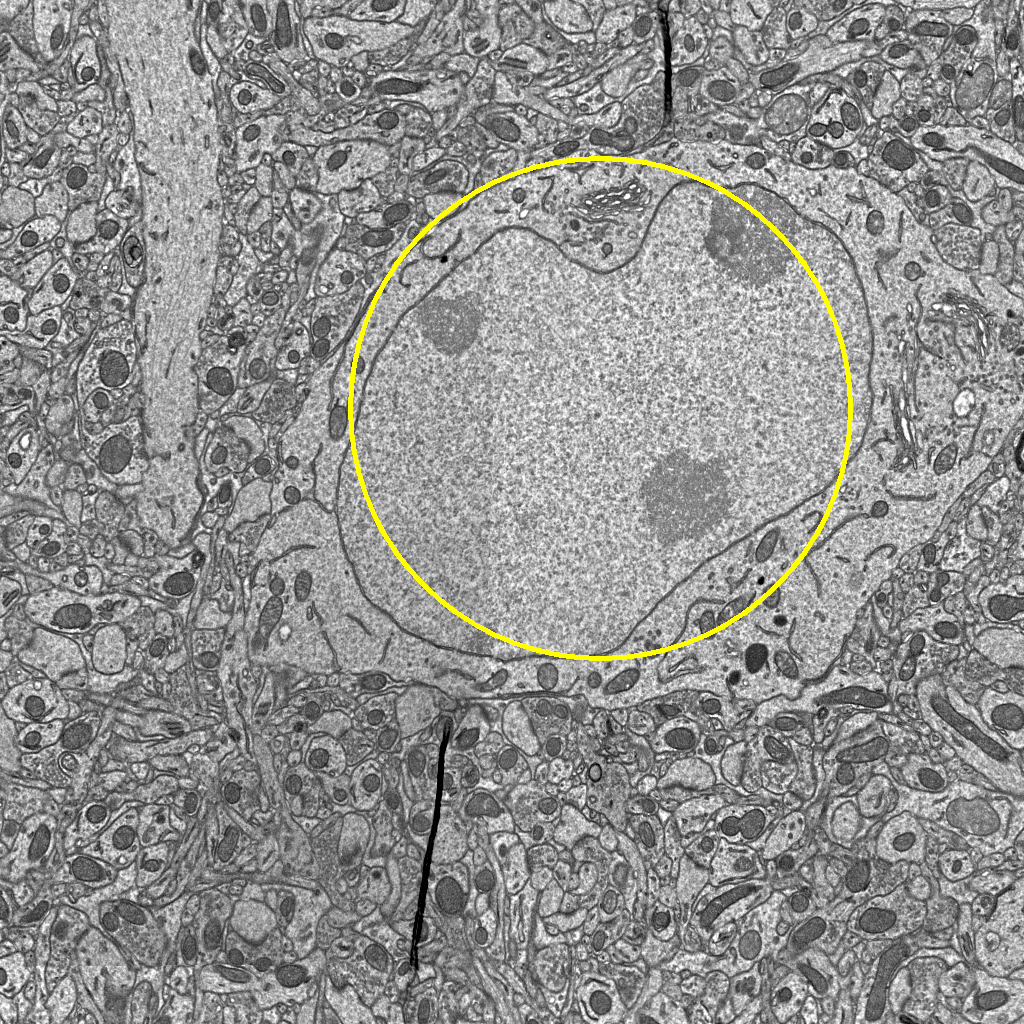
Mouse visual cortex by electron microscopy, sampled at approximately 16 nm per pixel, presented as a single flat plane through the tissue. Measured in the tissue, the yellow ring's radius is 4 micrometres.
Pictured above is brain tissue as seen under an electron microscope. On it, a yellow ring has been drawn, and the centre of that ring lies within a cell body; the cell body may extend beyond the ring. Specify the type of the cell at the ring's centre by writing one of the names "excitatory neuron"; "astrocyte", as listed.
excitatory neuron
